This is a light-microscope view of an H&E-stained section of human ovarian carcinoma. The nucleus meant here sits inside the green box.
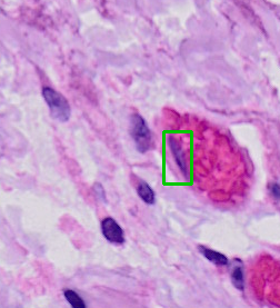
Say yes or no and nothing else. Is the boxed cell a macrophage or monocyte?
no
